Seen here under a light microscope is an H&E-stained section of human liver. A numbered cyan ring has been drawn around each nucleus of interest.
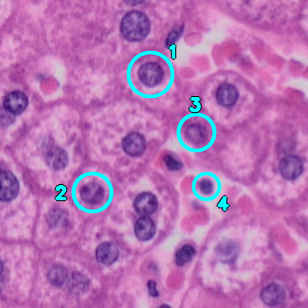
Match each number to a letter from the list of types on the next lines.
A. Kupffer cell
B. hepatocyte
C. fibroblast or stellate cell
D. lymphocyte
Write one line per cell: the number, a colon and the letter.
1: B
2: B
3: B
4: D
